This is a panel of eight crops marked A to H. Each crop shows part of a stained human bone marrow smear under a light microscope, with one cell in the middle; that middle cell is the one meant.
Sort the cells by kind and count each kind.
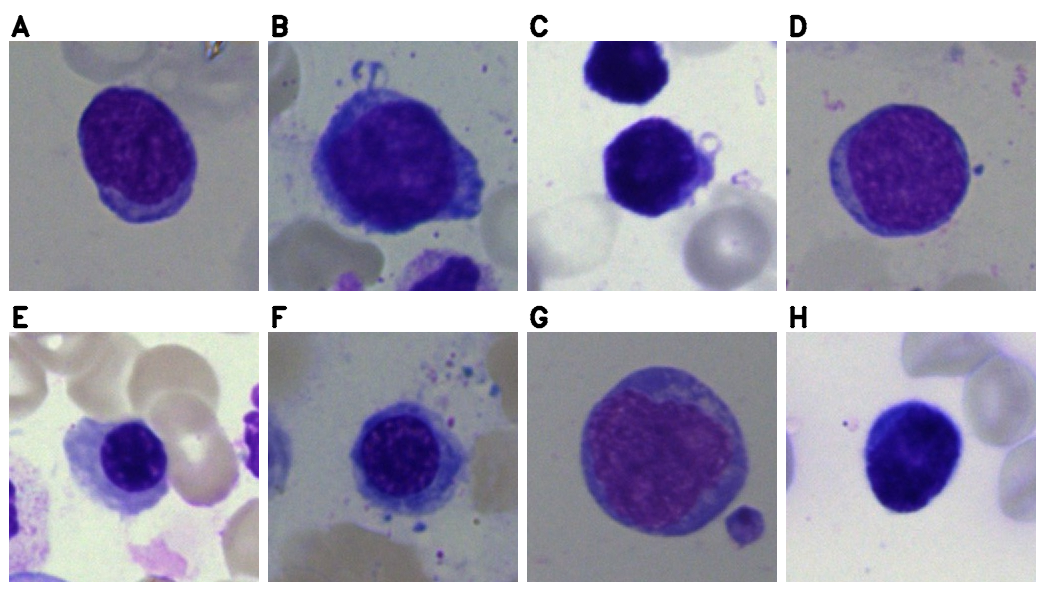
blast: 4
lymphocyte: 2
erythroblast: 2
